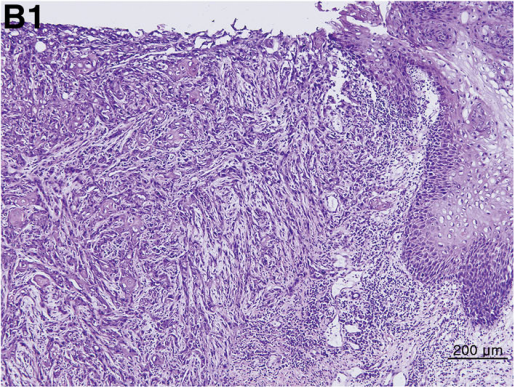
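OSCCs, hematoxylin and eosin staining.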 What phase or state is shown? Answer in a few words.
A: Poorly differentiated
